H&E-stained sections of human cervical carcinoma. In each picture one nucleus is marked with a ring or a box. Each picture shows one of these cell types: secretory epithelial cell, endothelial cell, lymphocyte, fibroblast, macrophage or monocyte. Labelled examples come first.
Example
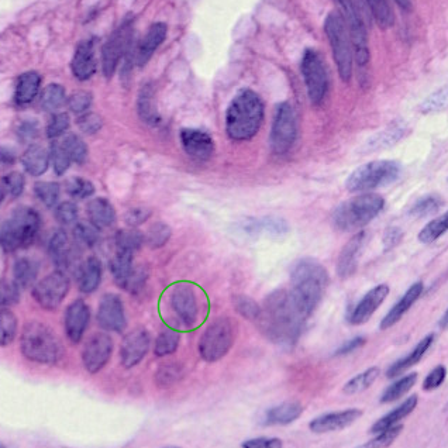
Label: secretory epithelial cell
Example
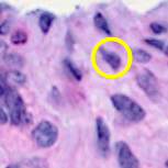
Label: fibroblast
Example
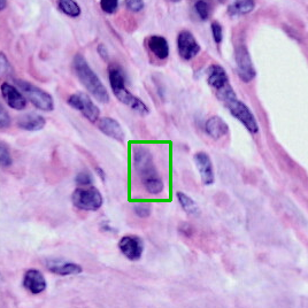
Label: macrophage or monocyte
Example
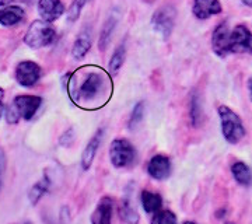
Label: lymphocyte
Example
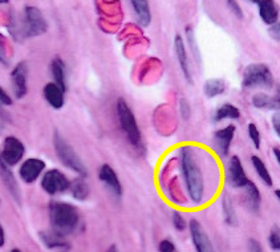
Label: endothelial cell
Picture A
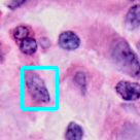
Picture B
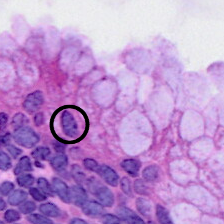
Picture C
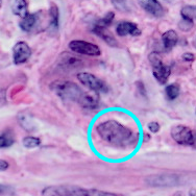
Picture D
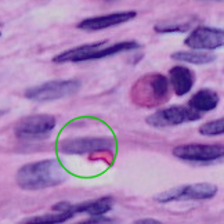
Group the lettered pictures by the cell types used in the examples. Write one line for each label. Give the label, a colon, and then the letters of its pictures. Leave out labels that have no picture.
secretory epithelial cell: B
endothelial cell: D
macrophage or monocyte: A, C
